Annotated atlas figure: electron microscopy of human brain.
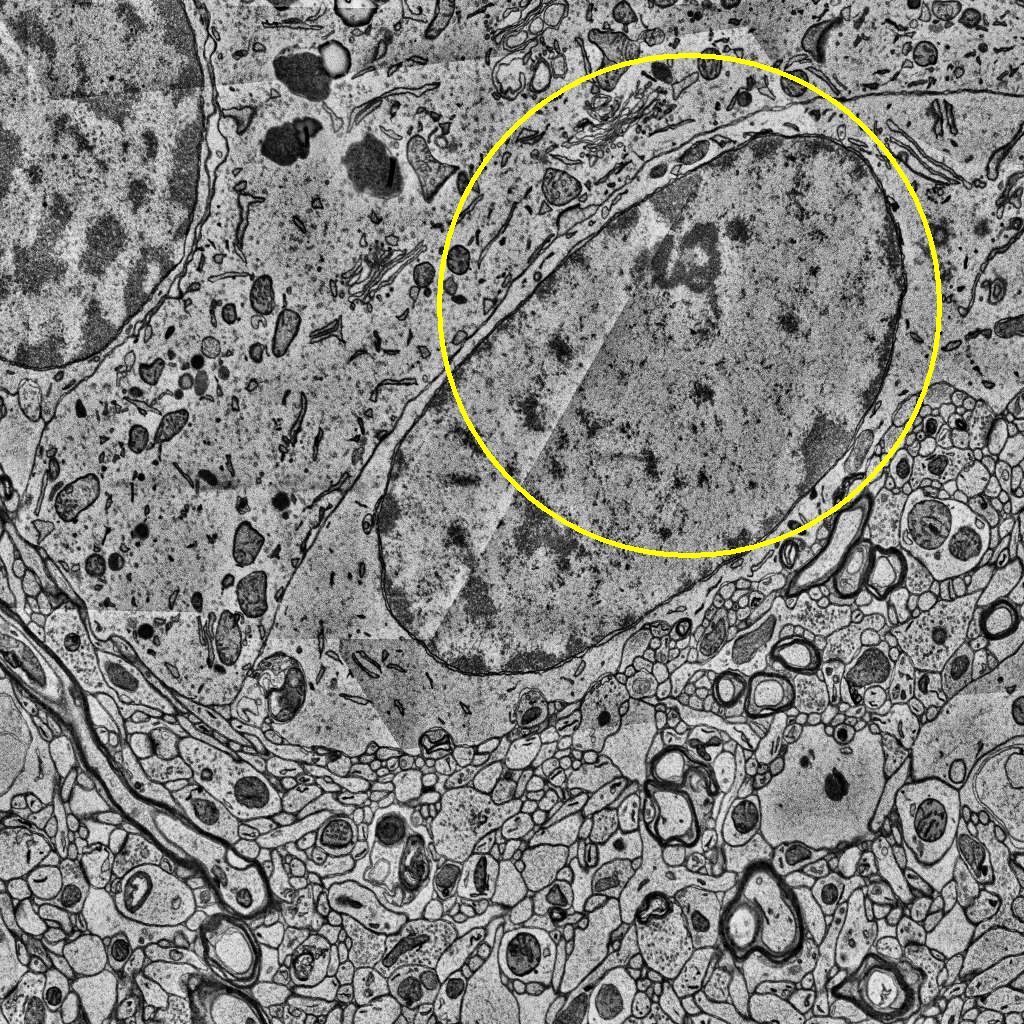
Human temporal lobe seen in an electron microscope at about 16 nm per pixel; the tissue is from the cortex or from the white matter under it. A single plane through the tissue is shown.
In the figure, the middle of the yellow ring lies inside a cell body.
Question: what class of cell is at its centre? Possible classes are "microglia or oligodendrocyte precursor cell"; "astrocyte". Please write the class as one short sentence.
The yellow ring's centre lies in a microglial cell or oligodendrocyte precursor cell.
